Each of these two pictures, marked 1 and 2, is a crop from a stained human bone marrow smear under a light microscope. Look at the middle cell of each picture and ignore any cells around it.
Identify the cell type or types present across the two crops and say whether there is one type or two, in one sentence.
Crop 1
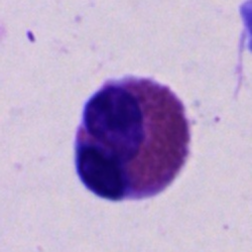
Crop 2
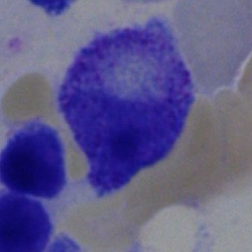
No, what crop 1 shows is an eosinophil, and what crop 2 shows is a myelocyte.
